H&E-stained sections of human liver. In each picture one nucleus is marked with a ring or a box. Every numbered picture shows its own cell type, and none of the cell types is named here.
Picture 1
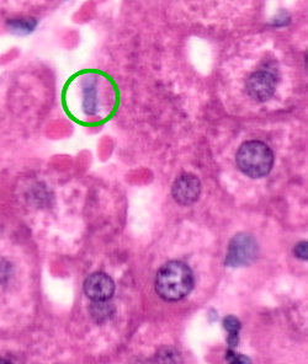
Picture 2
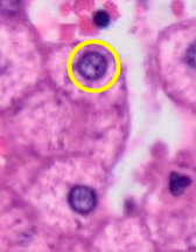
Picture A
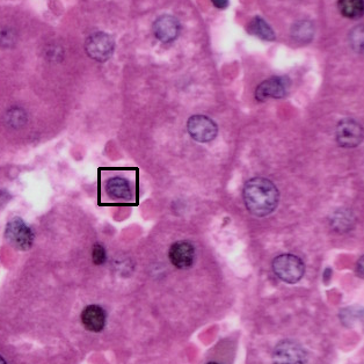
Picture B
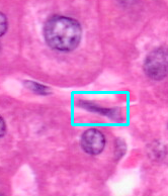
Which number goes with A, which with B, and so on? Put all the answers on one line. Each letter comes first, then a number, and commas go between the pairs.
A 1, B 1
